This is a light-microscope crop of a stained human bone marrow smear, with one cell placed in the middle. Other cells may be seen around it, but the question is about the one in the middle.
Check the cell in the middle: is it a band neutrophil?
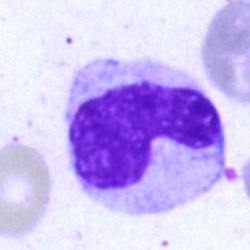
yes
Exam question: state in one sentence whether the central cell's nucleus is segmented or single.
Worth pointing out that its nucleus is one compact mass, round, oval or reniform.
